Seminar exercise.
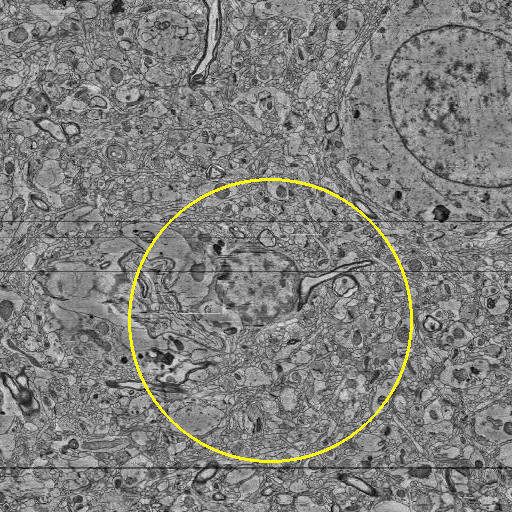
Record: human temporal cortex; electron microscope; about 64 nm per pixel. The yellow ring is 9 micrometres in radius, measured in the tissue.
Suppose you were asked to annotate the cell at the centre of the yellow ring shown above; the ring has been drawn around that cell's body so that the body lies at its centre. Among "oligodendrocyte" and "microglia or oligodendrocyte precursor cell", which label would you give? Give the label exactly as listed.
oligodendrocyte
